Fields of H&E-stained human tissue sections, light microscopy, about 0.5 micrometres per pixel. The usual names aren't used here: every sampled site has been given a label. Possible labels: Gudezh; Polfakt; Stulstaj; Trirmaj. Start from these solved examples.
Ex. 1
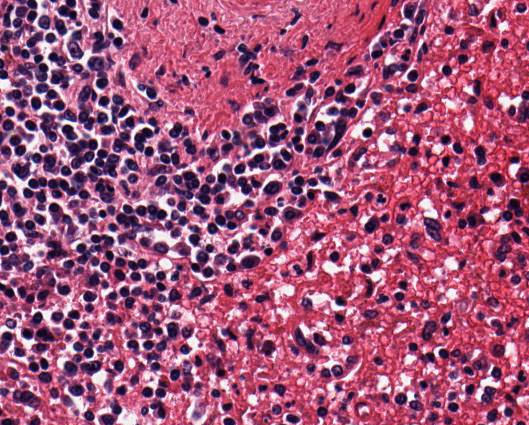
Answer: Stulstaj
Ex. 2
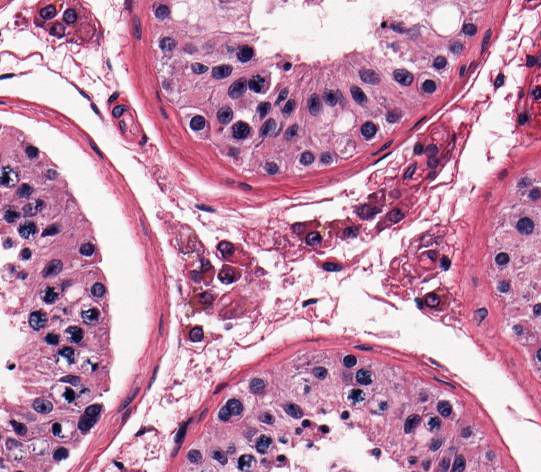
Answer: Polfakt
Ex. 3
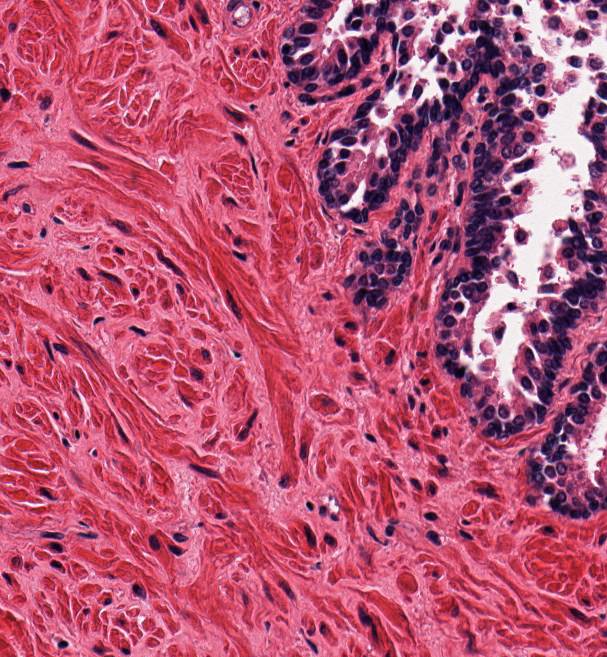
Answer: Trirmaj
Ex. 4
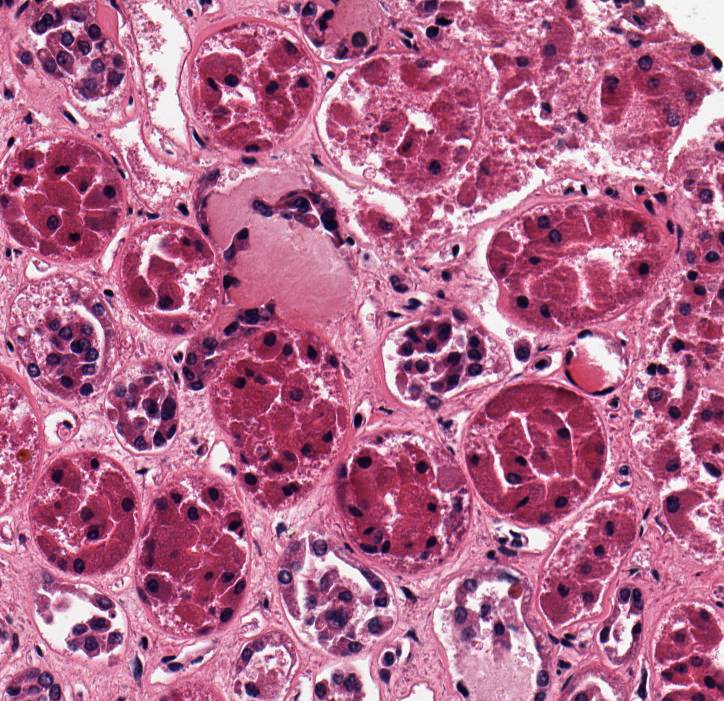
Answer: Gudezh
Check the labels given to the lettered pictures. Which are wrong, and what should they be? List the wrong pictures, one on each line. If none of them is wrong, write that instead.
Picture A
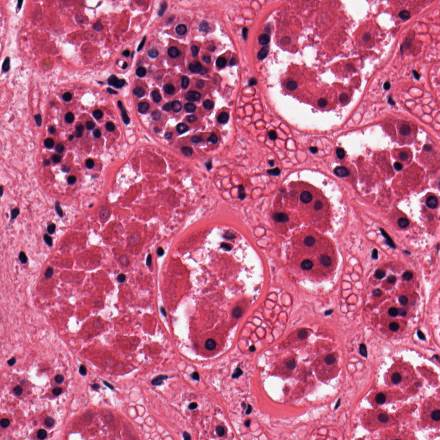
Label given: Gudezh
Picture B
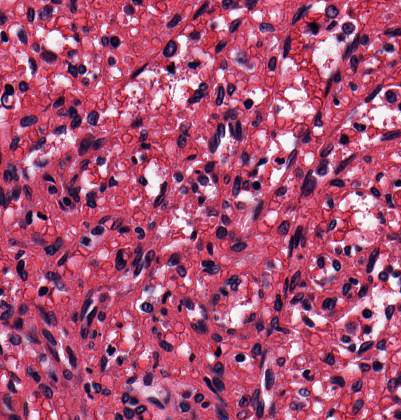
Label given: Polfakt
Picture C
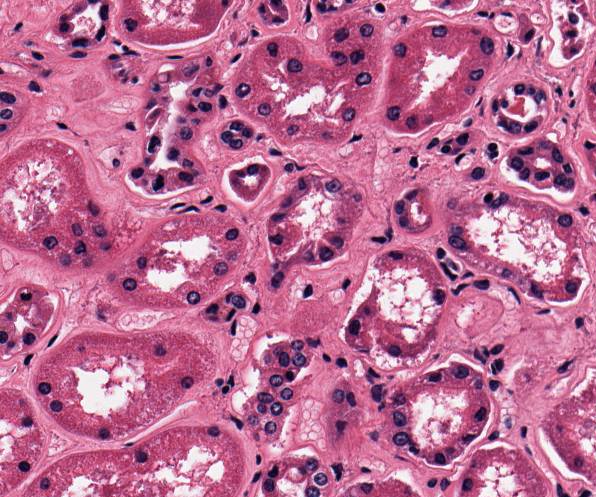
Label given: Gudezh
B: not Polfakt but Stulstaj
